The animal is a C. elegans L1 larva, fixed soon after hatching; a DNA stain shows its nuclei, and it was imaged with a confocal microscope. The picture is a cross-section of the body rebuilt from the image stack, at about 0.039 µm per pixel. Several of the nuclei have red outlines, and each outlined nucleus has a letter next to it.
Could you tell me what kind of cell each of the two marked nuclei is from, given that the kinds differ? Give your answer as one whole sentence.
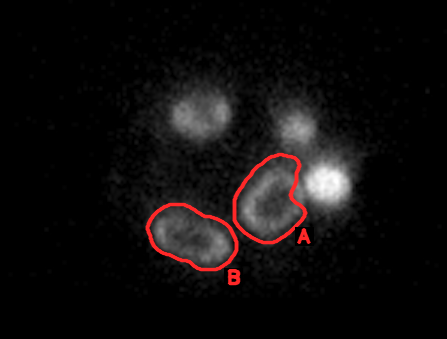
B belongs to a hypodermal cell (hyp), and A to an intestinal cell.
